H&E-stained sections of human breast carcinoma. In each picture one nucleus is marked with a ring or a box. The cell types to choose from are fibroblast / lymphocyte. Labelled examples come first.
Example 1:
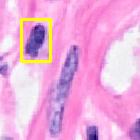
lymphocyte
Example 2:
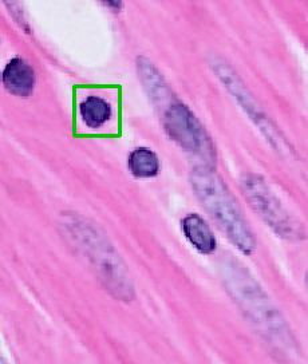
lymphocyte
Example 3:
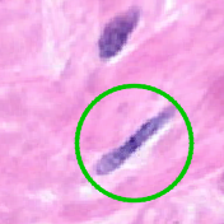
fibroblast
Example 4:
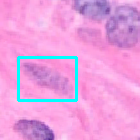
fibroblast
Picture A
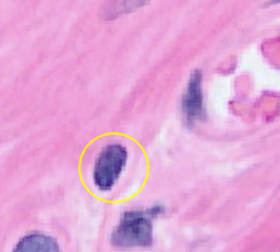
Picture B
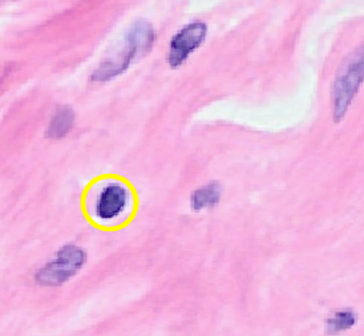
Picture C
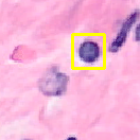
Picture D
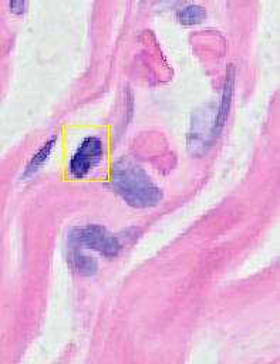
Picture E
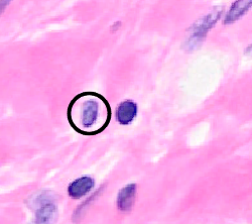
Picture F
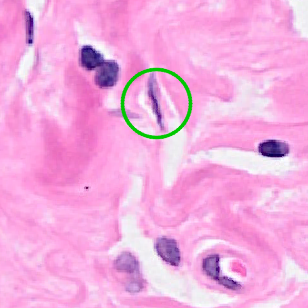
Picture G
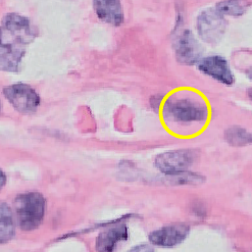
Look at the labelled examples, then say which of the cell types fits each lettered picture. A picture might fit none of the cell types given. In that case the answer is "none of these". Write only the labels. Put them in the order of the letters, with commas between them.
lymphocyte, lymphocyte, lymphocyte, lymphocyte, lymphocyte, fibroblast, none of these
